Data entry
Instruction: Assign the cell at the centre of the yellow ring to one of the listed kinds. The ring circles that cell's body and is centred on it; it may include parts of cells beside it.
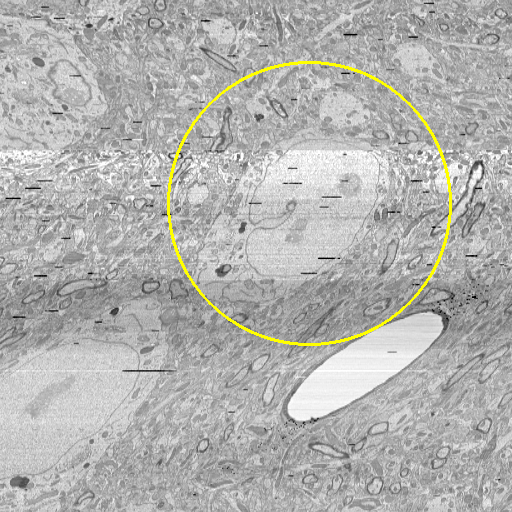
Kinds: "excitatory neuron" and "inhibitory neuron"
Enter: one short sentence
The centre of the ring falls on an excitatory neuron.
